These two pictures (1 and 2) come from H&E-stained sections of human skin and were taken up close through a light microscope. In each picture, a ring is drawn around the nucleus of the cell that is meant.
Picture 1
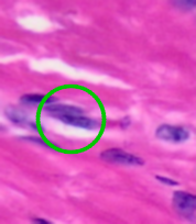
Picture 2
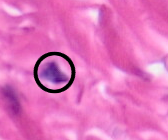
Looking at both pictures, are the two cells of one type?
no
